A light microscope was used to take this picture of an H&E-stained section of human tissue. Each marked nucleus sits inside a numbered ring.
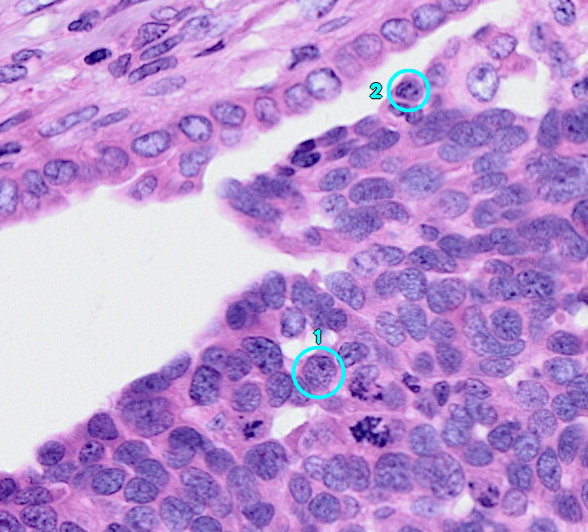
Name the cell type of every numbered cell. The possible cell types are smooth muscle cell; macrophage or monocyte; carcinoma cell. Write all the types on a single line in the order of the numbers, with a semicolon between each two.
carcinoma cell; macrophage or monocyte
